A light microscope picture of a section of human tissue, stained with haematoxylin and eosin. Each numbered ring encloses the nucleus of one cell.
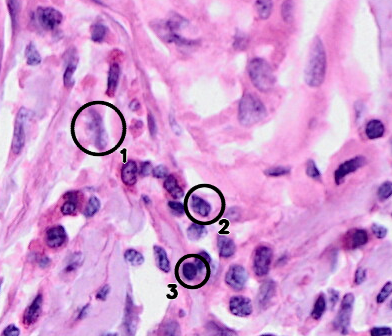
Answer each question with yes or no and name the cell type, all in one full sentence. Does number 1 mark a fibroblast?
Yes, the marked cell numbered 1 is a fibroblast.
